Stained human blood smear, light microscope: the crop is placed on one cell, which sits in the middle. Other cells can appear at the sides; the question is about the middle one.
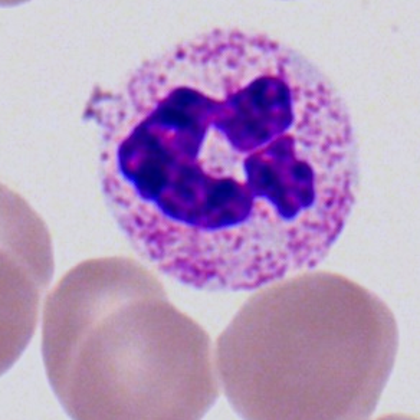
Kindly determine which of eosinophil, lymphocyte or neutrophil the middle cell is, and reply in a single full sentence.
In the center of this field lies a neutrophil.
